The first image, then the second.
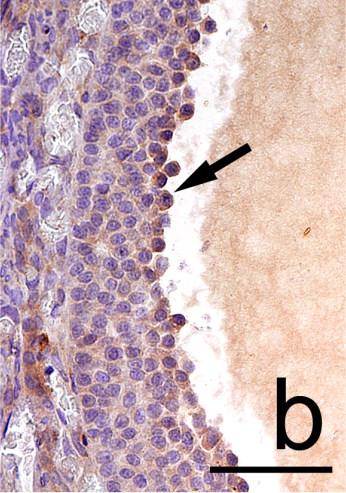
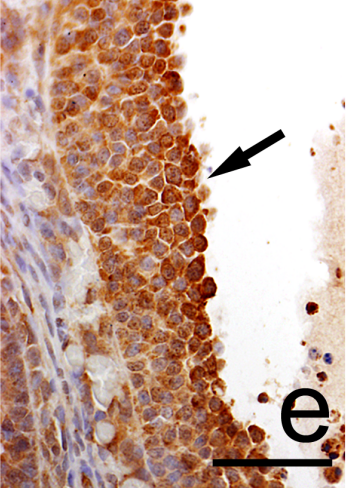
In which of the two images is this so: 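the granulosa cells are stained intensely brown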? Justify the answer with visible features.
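Second image: the layered cells lining the cavity are deep brown throughout their cytoplasm. First image: the layered cells lining the cavity are mostly blue-violet with only faint brown.
Answer: the second image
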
